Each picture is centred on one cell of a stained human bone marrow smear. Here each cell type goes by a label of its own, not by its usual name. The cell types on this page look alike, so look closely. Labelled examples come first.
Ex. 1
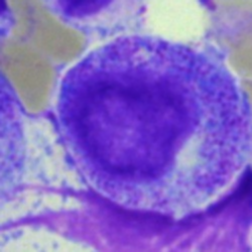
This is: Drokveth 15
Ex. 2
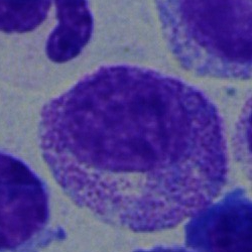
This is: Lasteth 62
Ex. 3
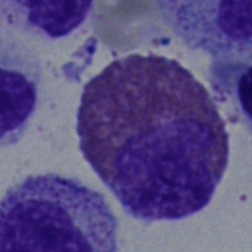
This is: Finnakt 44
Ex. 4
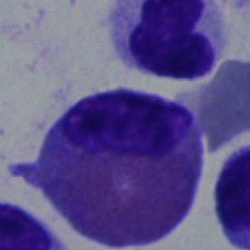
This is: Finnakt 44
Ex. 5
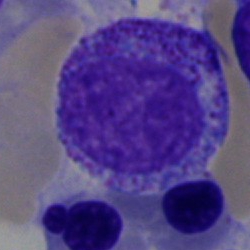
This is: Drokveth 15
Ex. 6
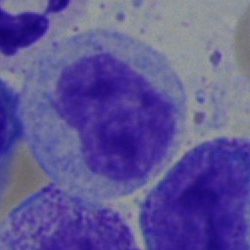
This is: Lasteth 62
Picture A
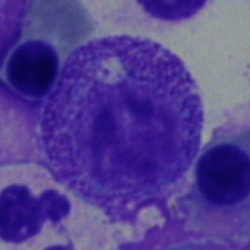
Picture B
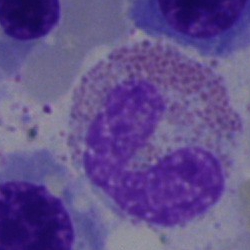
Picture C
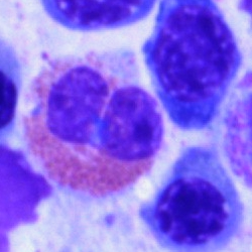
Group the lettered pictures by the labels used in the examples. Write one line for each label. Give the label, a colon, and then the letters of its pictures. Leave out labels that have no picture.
Lasteth 62: A
Finnakt 44: B, C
